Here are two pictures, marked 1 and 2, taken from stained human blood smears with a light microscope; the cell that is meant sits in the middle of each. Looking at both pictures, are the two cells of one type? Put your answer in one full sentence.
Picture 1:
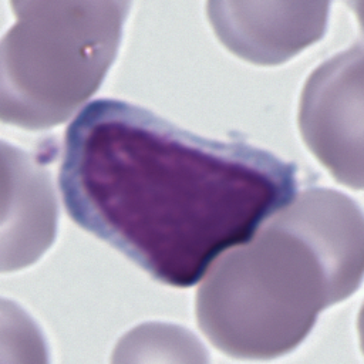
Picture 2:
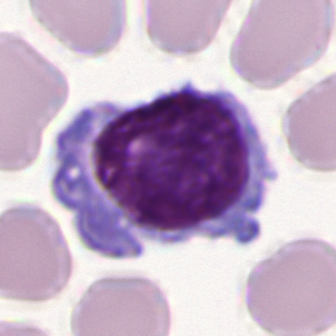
No, picture 1 shows a typical lymphocyte and picture 2 shows a plasma cell.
